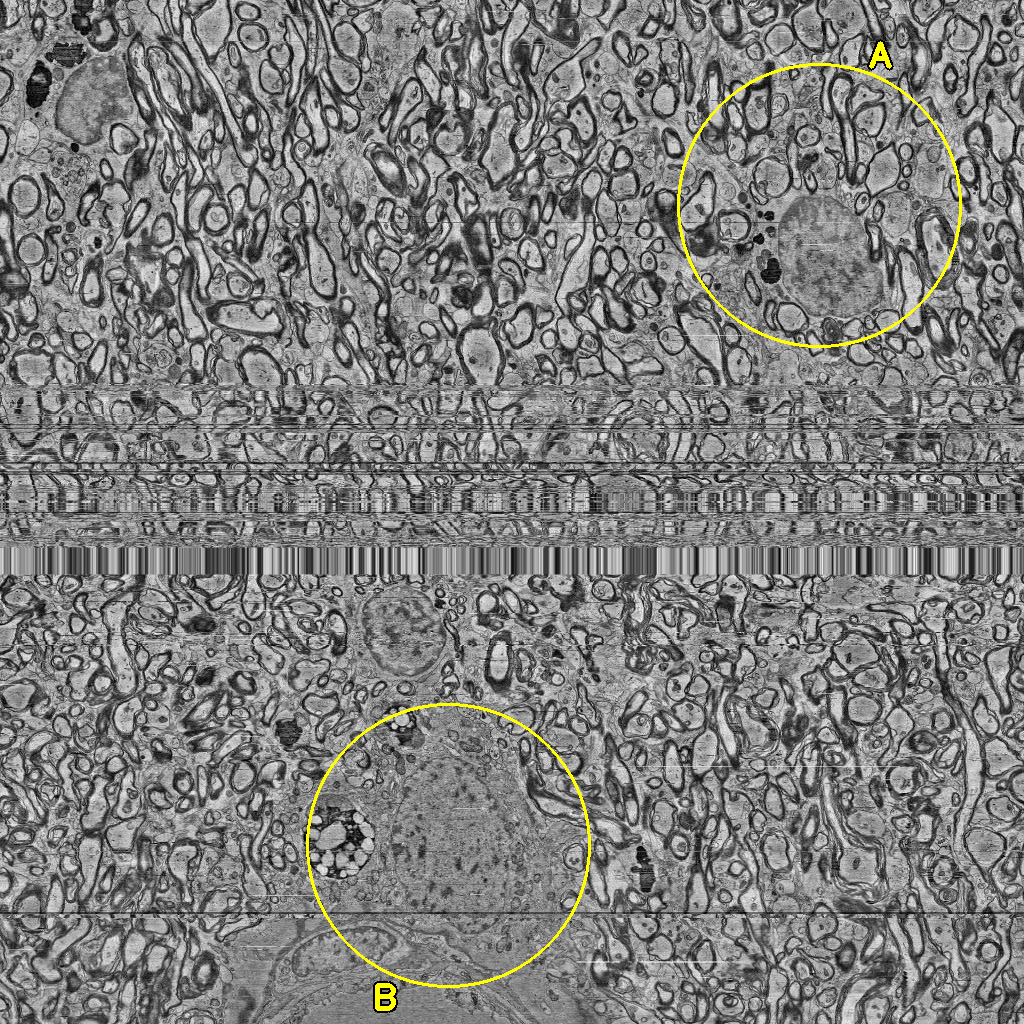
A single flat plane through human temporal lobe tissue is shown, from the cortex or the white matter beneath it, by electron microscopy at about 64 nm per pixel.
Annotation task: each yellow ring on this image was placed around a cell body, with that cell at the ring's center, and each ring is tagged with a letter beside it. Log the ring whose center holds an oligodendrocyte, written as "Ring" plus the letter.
Ring A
